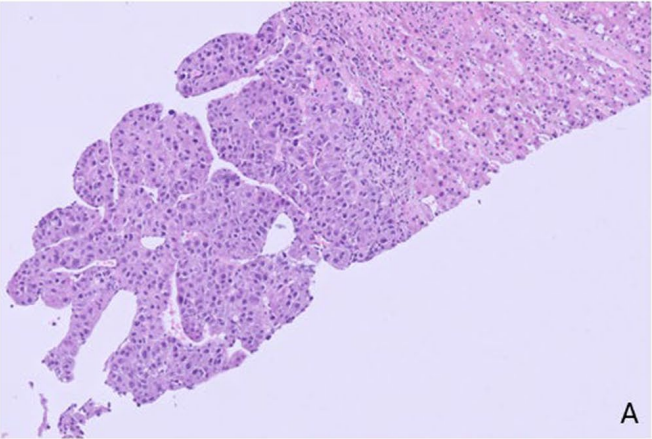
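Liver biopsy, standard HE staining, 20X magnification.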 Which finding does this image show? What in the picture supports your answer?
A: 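Thick trabeculae and nests of polygonal epithelial cells. Cells have eosinophilic cytoplasm and enlarged nuclei. Thinner, paler liver cell plates in one corner differ from the rest.
Hepatocellular carcinoma.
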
